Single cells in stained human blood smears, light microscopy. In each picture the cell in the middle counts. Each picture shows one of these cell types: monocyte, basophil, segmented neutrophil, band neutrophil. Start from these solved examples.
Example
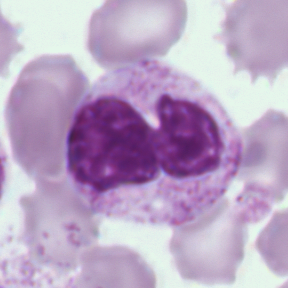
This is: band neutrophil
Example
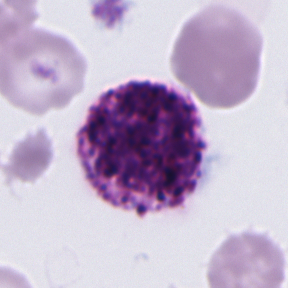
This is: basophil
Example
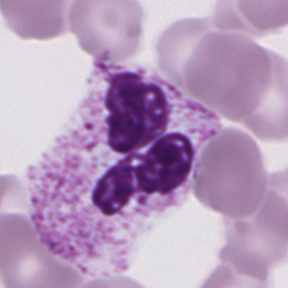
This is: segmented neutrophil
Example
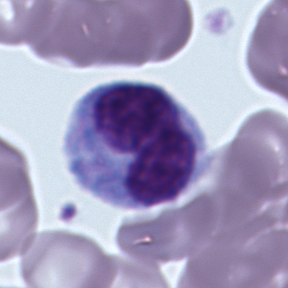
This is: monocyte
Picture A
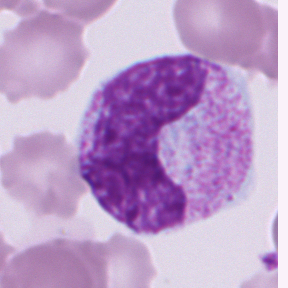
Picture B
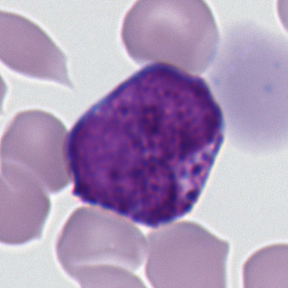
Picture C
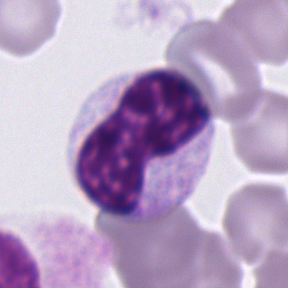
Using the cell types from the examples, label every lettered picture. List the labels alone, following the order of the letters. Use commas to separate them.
band neutrophil, basophil, band neutrophil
